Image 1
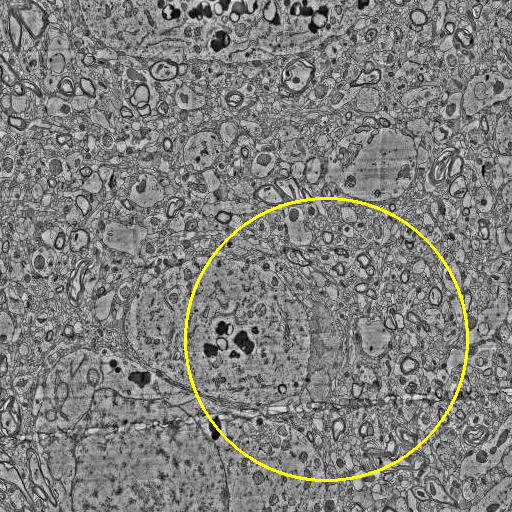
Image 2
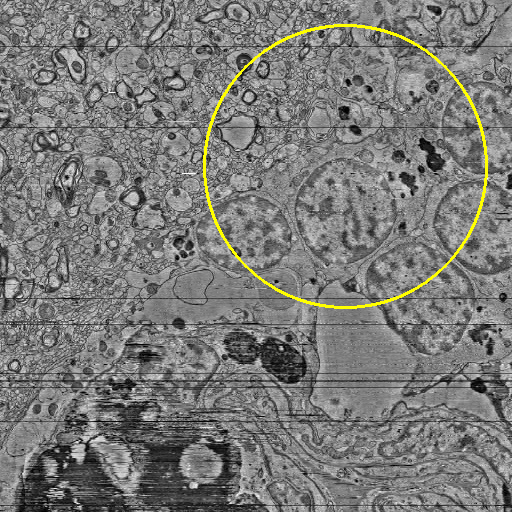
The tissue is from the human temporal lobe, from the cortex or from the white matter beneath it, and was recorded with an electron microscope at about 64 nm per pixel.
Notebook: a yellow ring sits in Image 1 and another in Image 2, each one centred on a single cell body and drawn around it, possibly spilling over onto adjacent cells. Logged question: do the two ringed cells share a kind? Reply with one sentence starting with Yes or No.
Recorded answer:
Yes, both centre cells inside the rings of Image 1 and Image 2 share one kind.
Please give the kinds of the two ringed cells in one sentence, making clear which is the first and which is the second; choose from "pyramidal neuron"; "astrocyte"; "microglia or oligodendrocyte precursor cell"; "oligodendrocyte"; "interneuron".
In each of the two pictures, the ringed cell is an oligodendrocyte.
